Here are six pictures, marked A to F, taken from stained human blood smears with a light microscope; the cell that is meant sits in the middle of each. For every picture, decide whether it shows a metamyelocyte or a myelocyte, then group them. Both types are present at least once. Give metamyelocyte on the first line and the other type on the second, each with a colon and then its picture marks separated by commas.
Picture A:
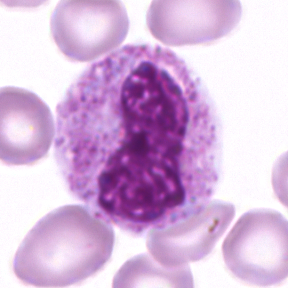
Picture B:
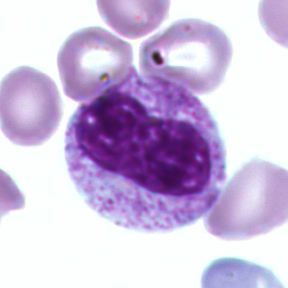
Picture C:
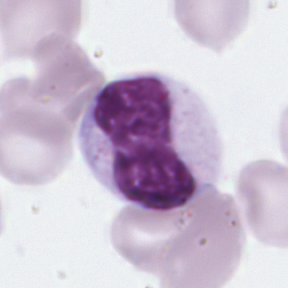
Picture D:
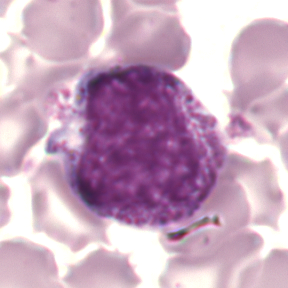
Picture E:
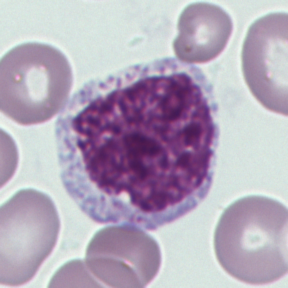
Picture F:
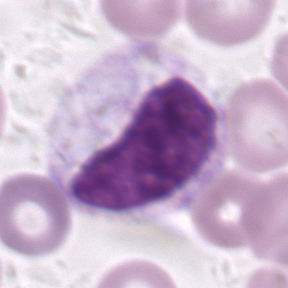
metamyelocyte: A, B, C, F
myelocyte: D, E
